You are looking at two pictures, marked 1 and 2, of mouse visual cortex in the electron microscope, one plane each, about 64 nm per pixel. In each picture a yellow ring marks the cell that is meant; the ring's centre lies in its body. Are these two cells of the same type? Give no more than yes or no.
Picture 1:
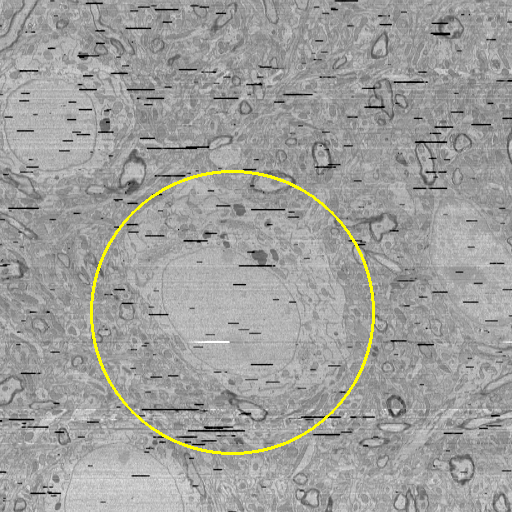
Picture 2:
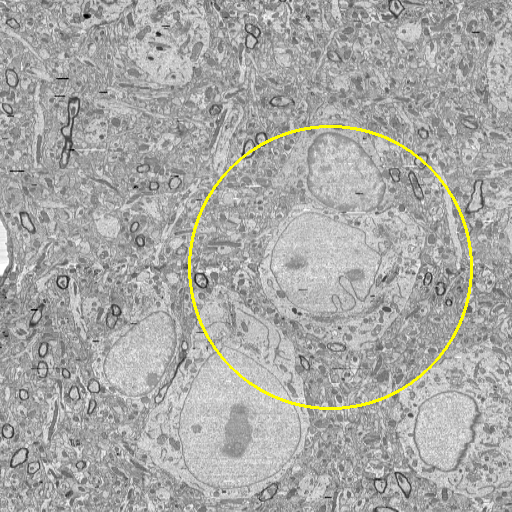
yes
